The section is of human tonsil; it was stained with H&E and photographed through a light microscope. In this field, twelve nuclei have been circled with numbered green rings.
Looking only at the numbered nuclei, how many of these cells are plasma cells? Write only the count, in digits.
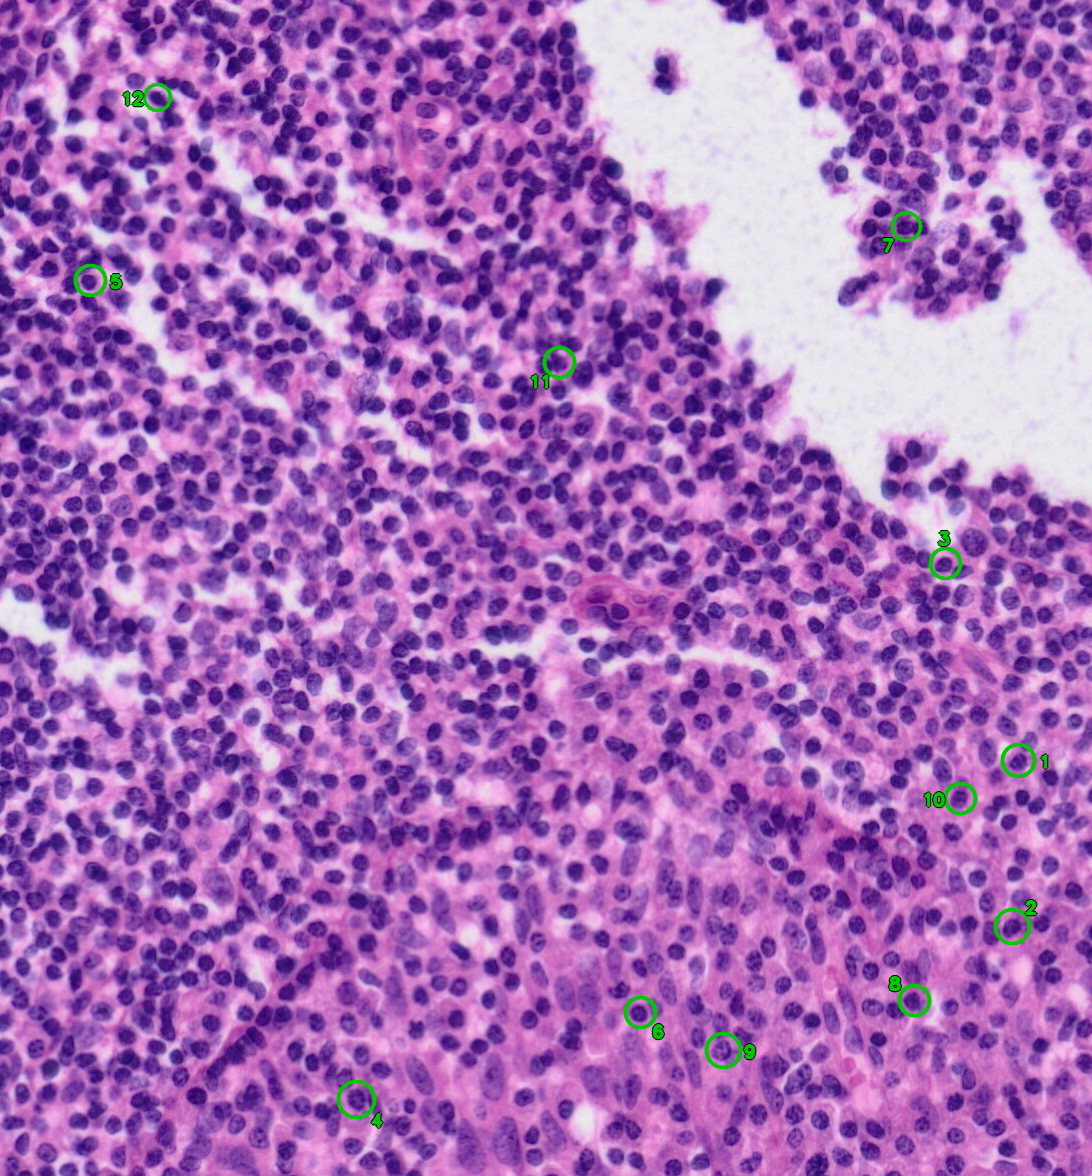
7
